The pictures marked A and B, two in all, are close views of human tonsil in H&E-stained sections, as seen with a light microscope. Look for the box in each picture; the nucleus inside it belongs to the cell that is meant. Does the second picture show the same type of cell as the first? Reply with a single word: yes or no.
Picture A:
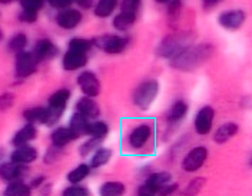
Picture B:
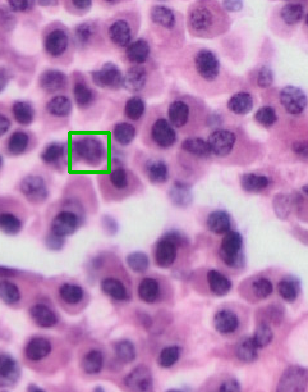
yes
